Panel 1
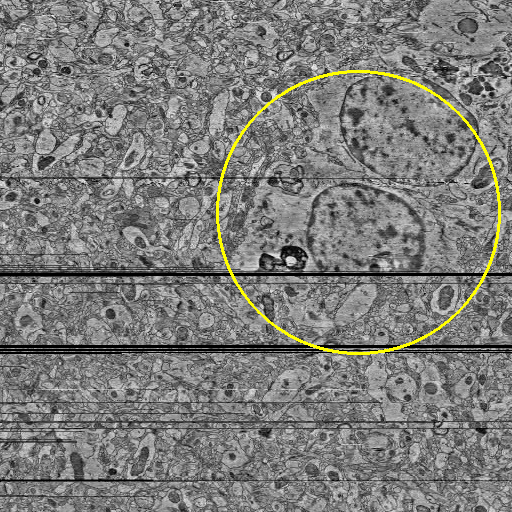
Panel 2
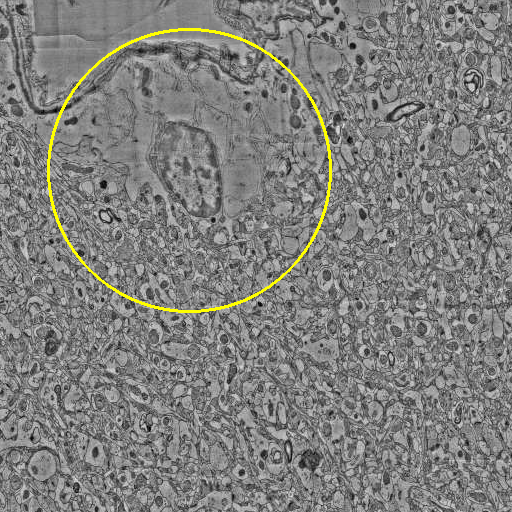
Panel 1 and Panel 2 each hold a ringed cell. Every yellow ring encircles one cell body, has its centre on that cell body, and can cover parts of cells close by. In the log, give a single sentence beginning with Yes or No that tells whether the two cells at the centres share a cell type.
No, in Panel 1 and Panel 2 the centred cells are of two cell types.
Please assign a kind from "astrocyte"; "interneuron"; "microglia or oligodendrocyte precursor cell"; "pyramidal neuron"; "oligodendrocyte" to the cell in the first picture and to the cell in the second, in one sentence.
In the first picture we have an astrocyte, and in the second, a microglial cell or oligodendrocyte precursor cell.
